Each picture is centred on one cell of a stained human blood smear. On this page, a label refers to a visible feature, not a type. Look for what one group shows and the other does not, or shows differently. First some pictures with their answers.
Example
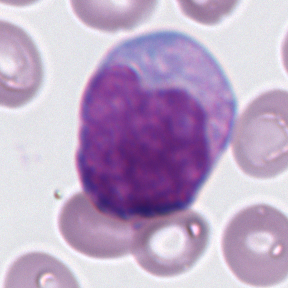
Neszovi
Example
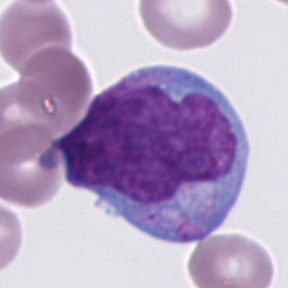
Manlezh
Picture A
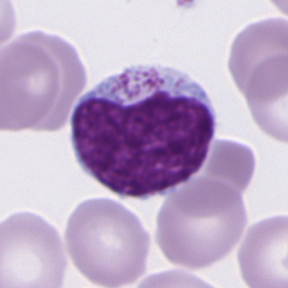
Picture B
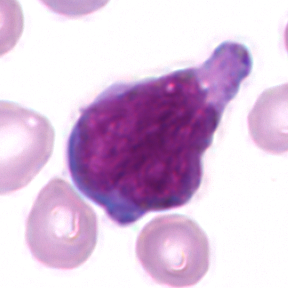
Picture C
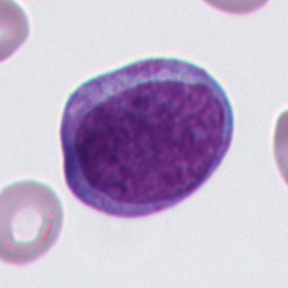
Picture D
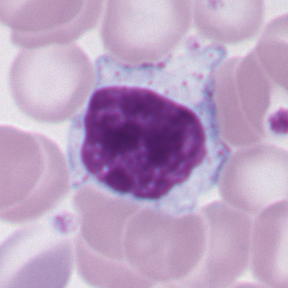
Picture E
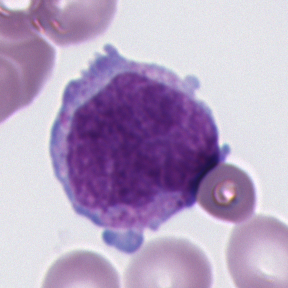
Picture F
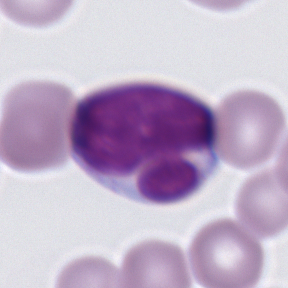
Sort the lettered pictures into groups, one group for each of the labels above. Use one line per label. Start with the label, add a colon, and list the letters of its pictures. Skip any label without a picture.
Neszovi: A, C, F
Manlezh: B, D, E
